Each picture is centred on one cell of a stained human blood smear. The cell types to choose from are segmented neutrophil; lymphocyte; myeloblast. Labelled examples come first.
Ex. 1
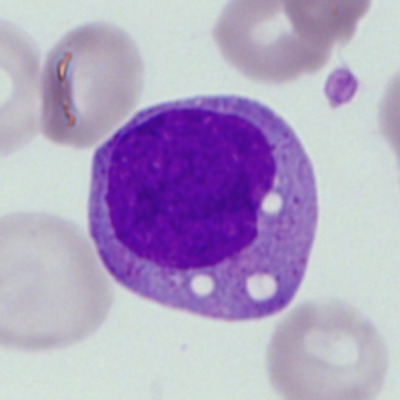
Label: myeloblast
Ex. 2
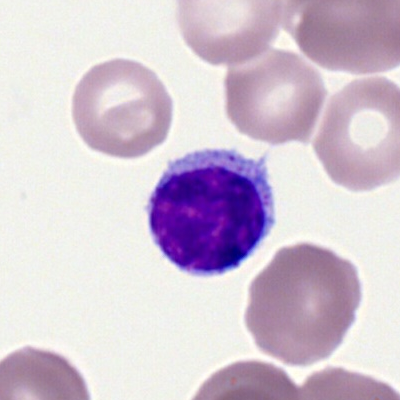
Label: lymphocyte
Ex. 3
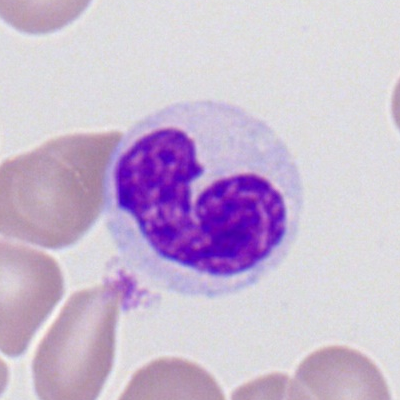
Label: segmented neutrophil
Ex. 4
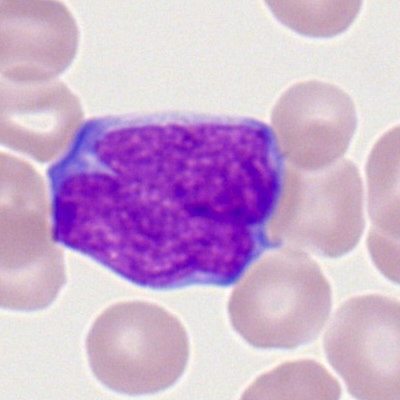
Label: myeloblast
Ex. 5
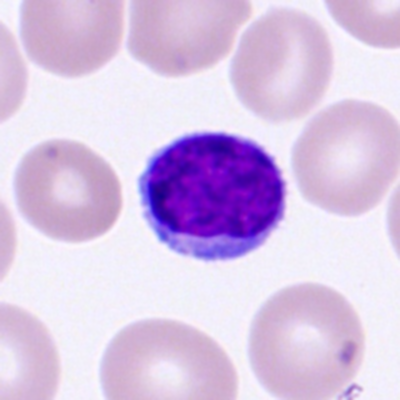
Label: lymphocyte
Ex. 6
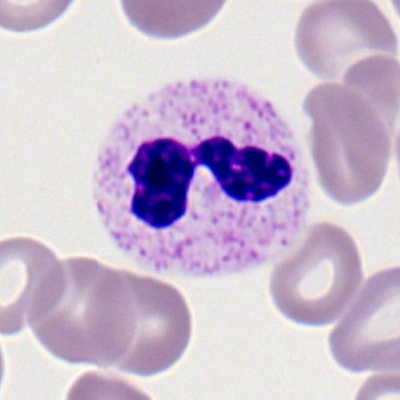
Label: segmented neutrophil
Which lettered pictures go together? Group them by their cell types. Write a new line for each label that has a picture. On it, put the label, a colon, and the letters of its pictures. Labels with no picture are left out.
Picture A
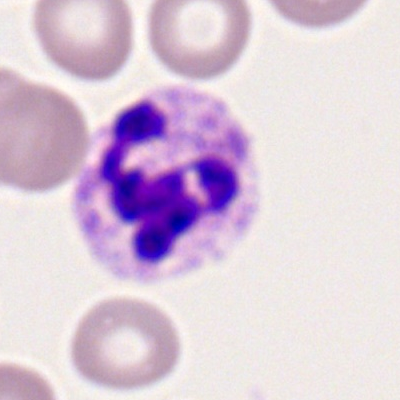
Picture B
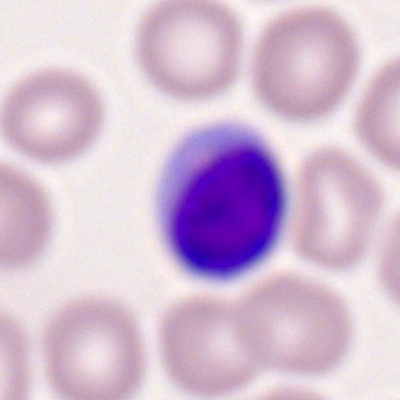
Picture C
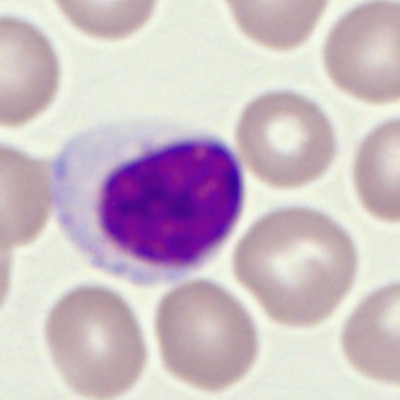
segmented neutrophil: A
lymphocyte: B, C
